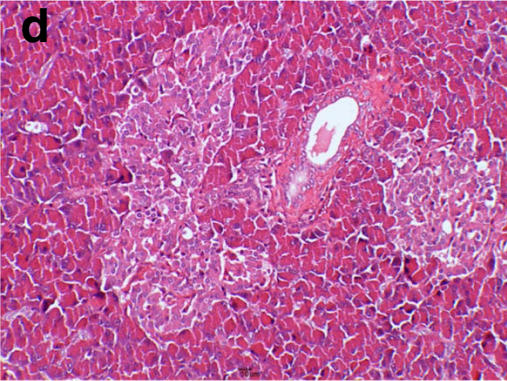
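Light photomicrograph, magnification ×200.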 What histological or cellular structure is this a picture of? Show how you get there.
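Islets of Langerhans. Large pale-staining cell clusters lie among darker pink acini.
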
